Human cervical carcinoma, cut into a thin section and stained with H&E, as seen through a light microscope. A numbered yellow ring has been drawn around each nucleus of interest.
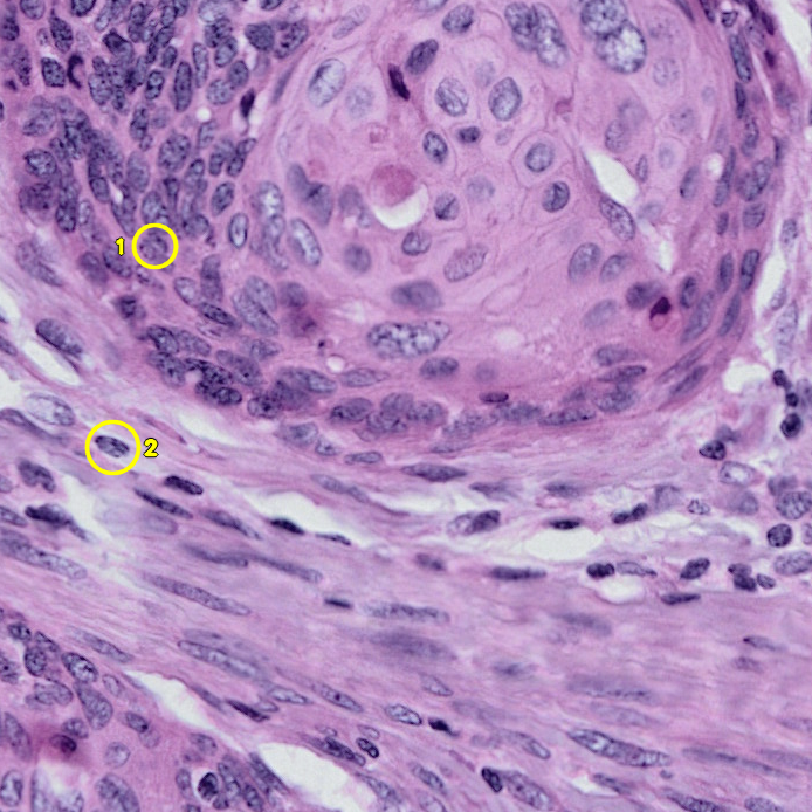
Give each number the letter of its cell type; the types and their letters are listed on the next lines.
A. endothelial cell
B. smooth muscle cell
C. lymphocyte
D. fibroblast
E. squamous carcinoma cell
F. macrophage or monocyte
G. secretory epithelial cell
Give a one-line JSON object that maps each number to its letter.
{"1": "E", "2": "C"}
